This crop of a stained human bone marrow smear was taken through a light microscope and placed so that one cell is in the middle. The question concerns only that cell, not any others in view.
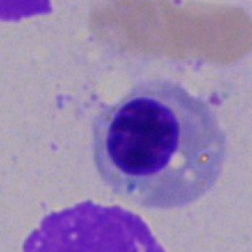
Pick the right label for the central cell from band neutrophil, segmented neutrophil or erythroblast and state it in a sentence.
The middle of this crop holds an erythroblast.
